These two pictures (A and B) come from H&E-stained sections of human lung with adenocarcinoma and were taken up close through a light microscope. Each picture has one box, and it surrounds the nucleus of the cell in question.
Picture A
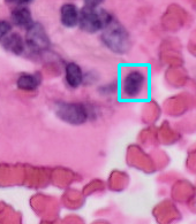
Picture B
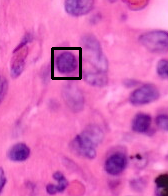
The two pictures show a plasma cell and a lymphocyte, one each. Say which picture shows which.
A: lymphocyte
B: plasma cell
